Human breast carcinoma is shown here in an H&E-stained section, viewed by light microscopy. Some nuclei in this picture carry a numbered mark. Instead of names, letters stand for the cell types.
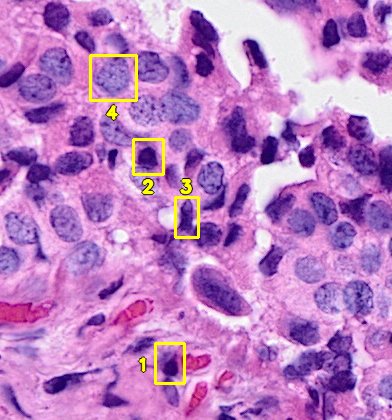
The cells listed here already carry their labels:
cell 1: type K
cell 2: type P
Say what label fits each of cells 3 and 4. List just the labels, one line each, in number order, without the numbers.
type P
type P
